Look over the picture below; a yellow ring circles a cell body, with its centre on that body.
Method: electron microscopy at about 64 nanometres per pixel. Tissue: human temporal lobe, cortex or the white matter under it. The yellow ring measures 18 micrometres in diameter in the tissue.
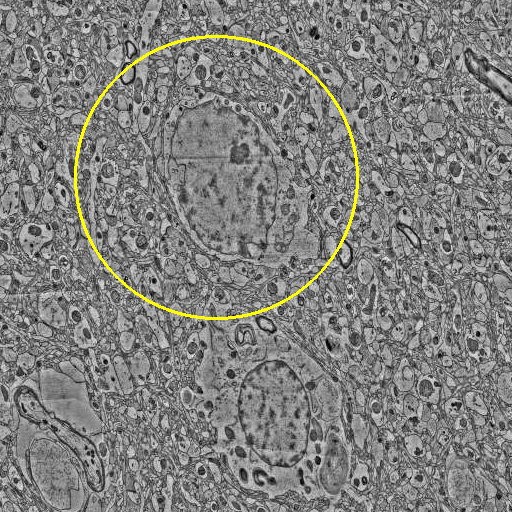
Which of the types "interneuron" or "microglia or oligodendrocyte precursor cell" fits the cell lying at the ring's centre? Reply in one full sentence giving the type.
The picture shows an interneuron at the centre of the yellow ring.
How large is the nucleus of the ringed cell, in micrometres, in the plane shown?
In this plane the nucleus spans approximately 10 by 6 micrometers.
